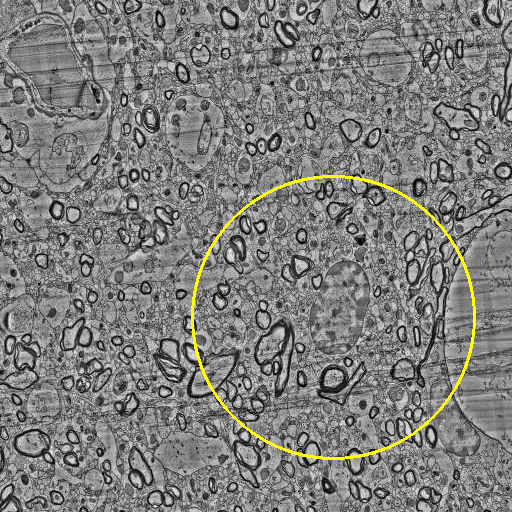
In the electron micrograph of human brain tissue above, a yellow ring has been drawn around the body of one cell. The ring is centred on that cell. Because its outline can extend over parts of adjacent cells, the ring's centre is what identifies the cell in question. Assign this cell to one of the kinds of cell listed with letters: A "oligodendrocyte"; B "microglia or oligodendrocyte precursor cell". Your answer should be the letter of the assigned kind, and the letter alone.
B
